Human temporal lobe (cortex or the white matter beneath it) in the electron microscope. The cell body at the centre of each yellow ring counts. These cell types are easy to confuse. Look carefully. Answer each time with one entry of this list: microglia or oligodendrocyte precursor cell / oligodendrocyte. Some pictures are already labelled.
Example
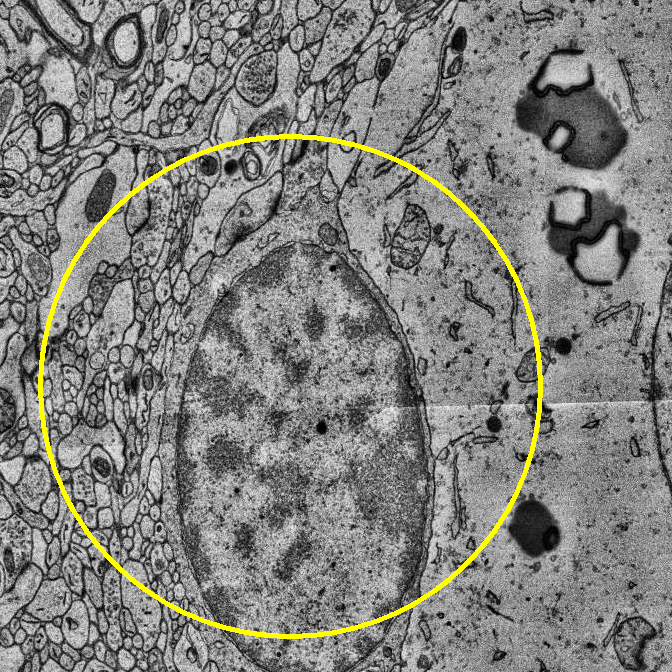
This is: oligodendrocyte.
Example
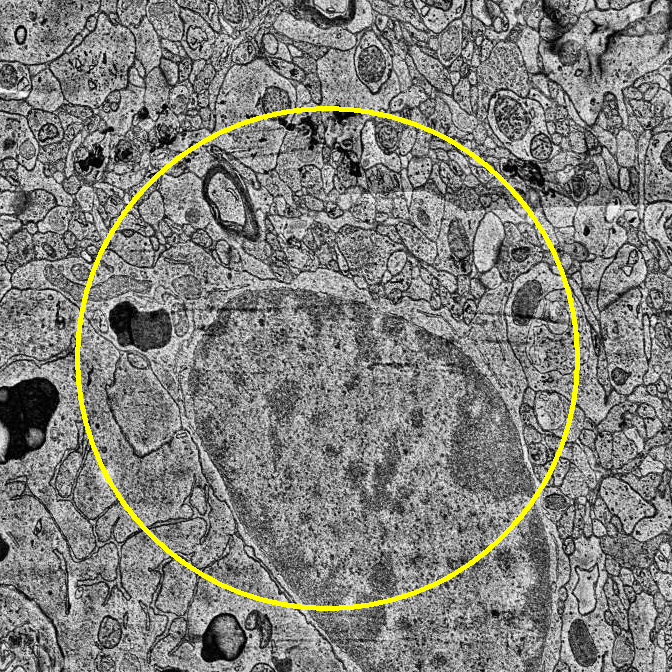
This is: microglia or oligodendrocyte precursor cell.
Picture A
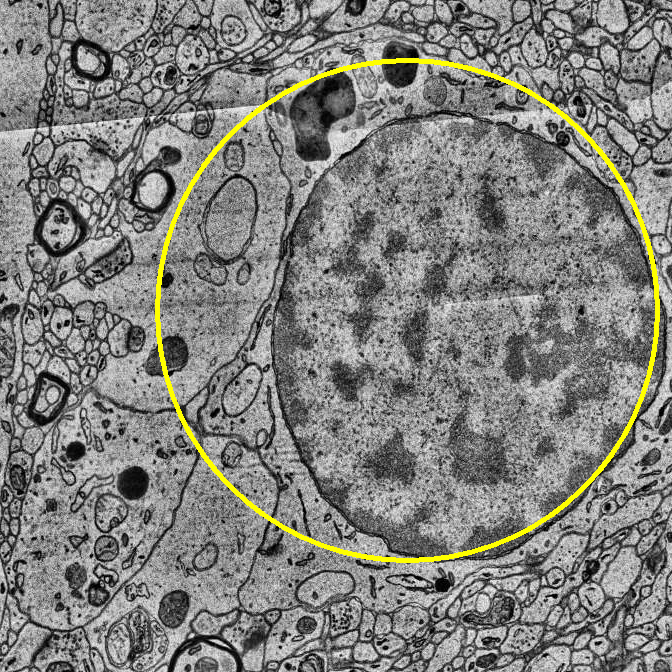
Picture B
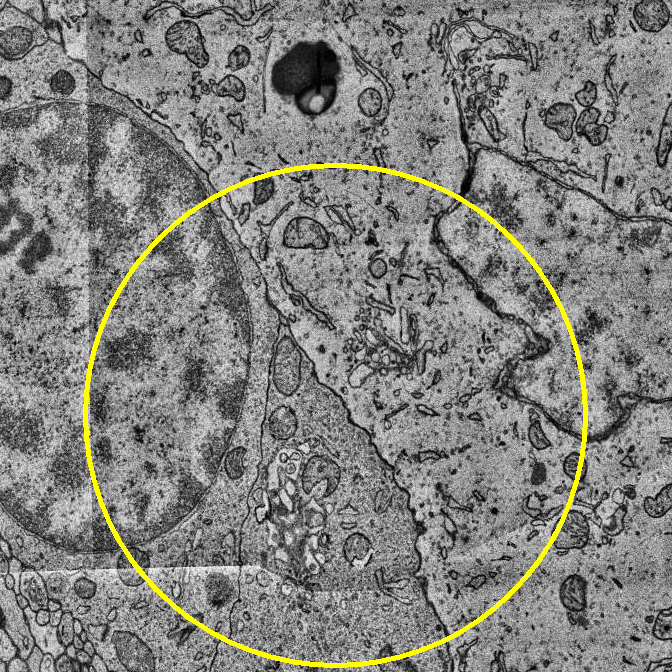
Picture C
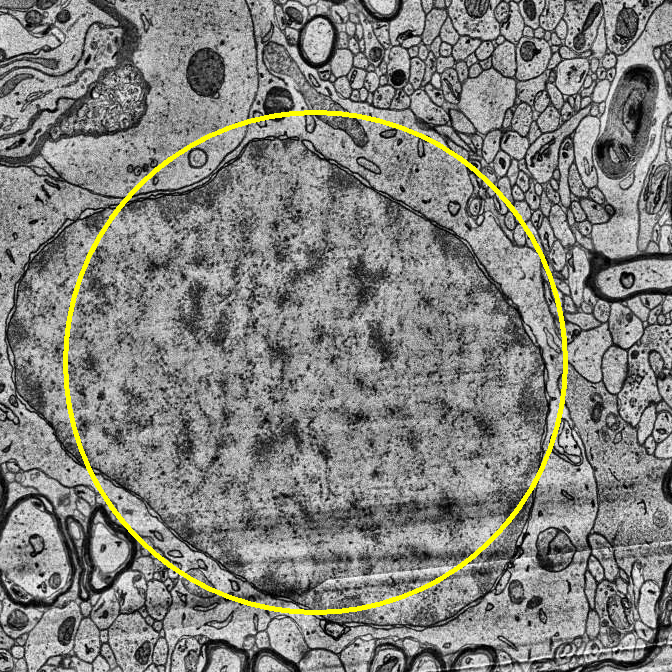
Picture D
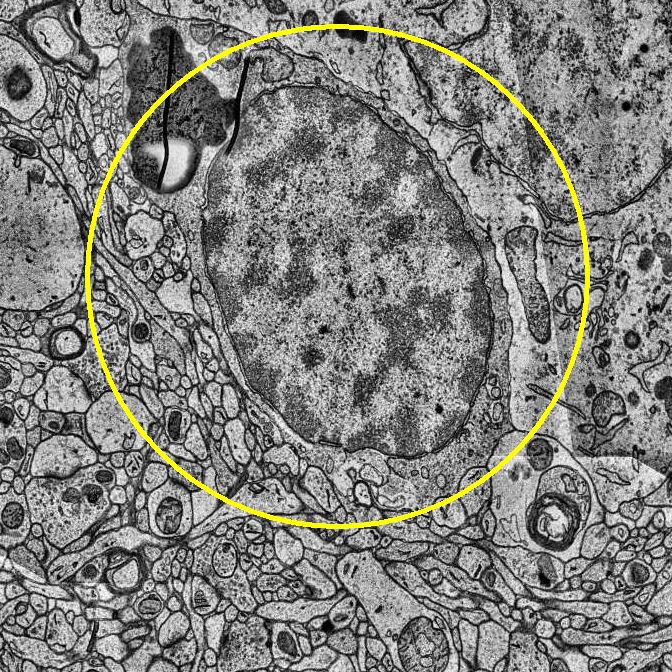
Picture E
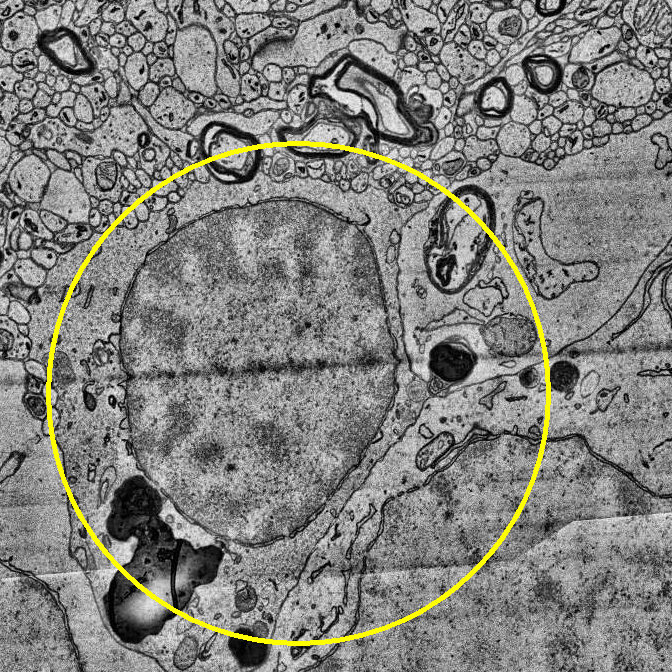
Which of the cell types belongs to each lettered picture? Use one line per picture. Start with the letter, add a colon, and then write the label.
A: microglia or oligodendrocyte precursor cell.
B: oligodendrocyte.
C: microglia or oligodendrocyte precursor cell.
D: oligodendrocyte.
E: oligodendrocyte.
